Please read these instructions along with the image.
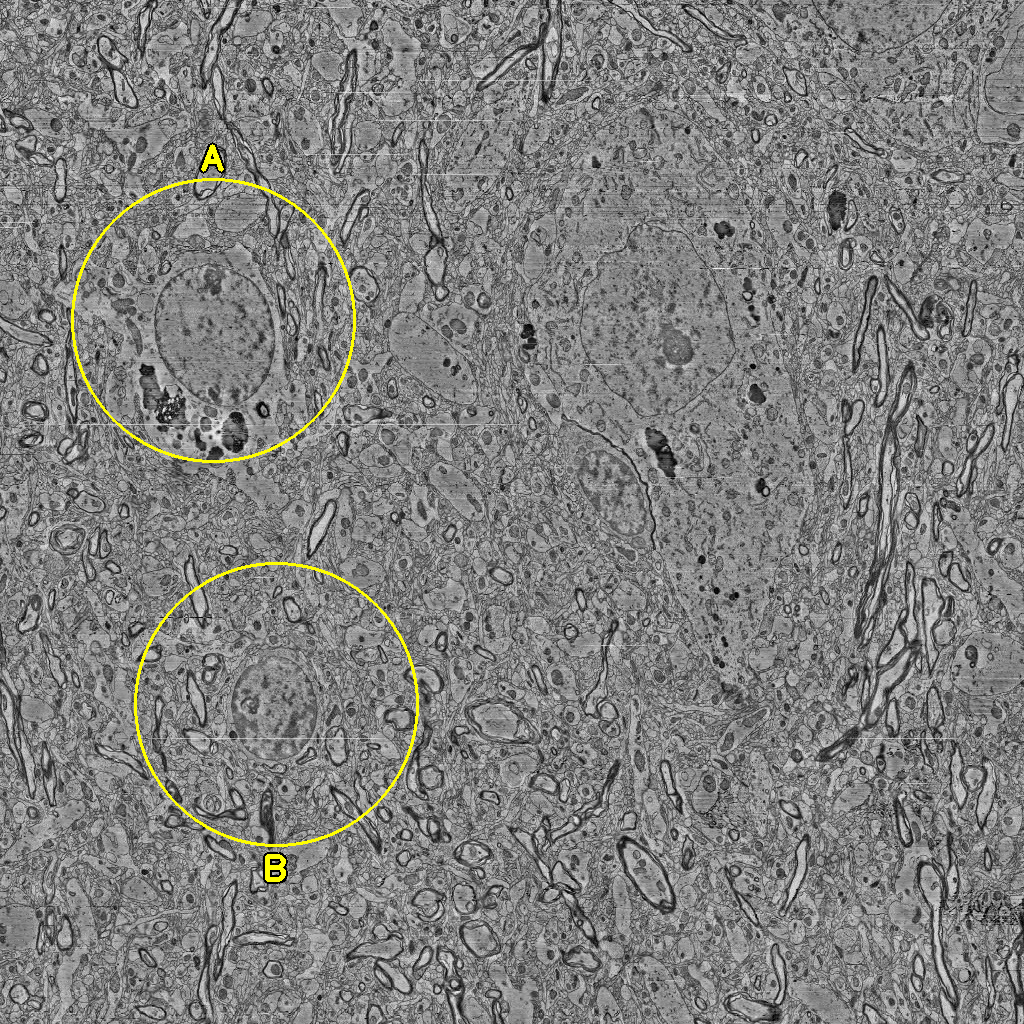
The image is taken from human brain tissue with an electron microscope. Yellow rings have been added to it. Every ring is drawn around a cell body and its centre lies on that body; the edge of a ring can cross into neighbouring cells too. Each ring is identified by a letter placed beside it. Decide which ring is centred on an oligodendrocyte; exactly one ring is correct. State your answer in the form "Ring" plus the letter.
Ring B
